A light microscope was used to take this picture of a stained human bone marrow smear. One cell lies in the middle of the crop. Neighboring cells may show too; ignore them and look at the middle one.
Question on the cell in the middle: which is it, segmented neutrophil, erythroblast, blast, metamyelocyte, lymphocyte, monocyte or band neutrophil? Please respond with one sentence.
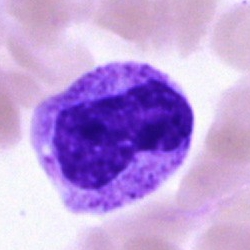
Framed in the middle of the crop is a metamyelocyte.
